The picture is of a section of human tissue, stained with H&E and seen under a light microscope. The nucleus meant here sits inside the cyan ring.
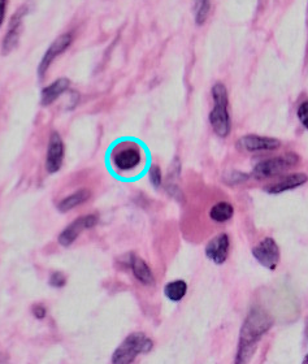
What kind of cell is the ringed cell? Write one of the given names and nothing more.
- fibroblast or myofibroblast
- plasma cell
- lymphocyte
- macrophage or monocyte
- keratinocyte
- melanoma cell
plasma cell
